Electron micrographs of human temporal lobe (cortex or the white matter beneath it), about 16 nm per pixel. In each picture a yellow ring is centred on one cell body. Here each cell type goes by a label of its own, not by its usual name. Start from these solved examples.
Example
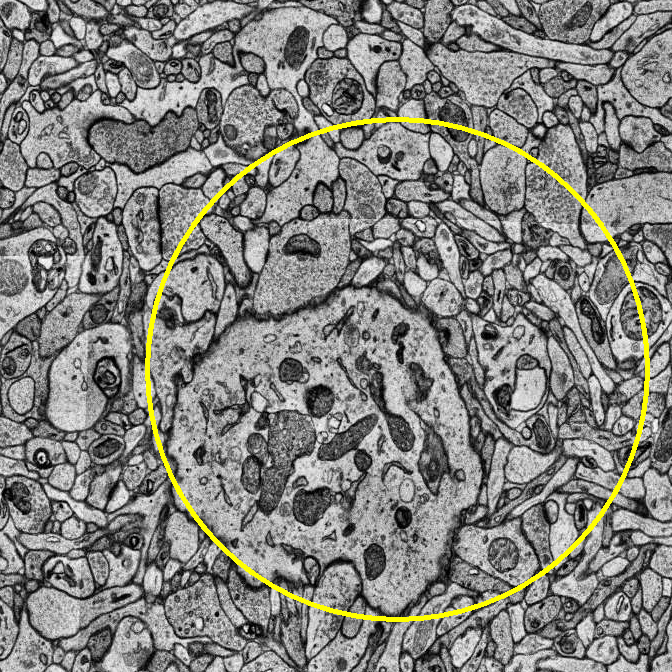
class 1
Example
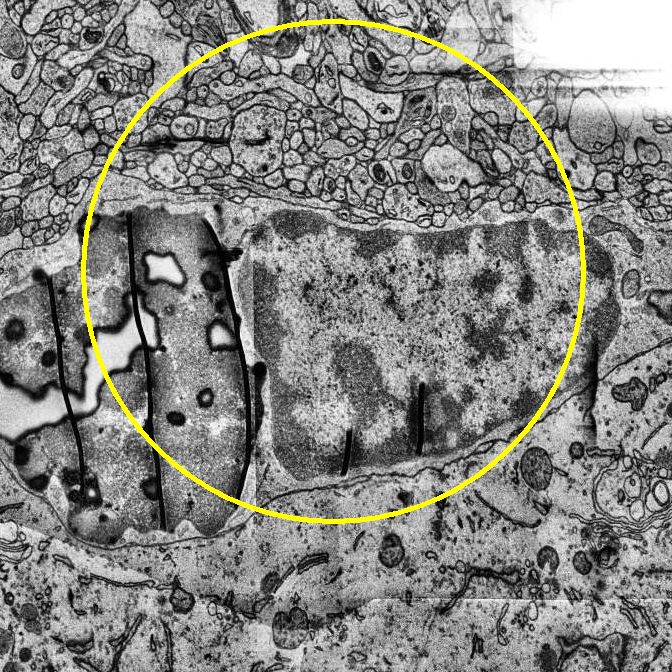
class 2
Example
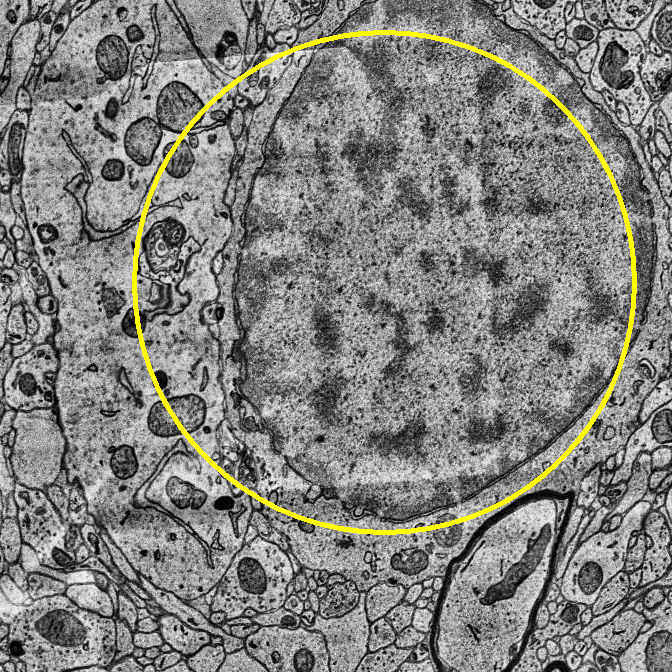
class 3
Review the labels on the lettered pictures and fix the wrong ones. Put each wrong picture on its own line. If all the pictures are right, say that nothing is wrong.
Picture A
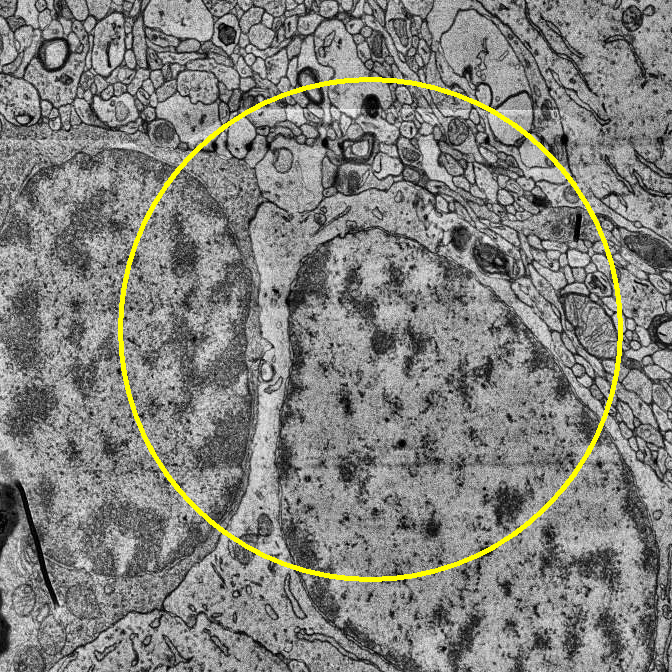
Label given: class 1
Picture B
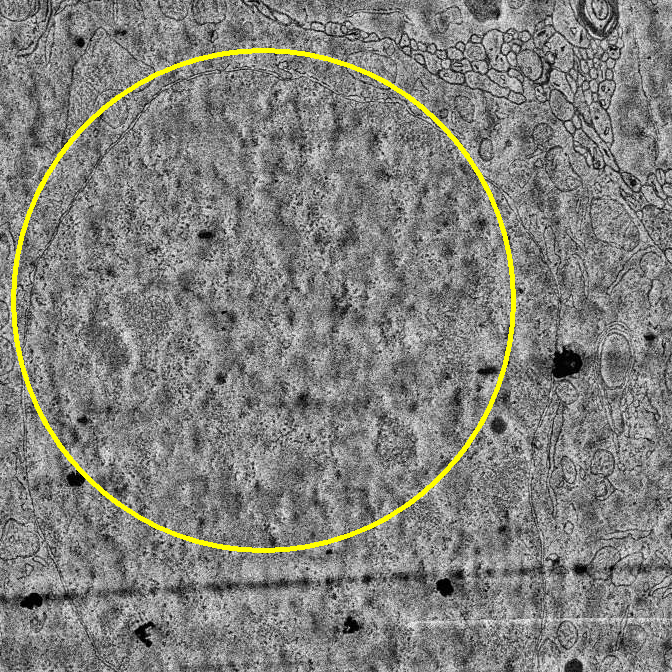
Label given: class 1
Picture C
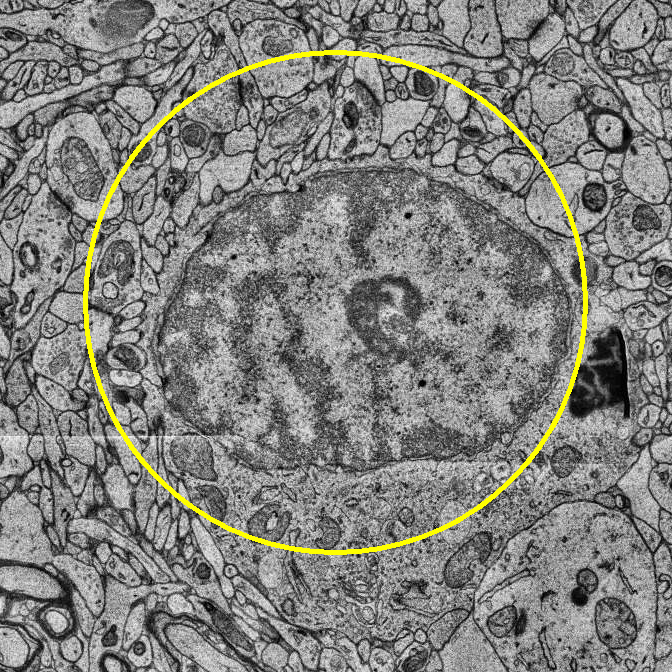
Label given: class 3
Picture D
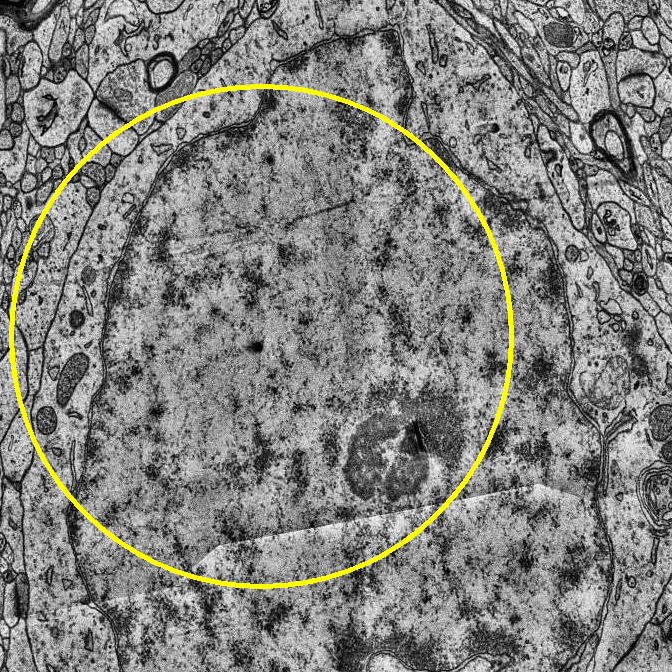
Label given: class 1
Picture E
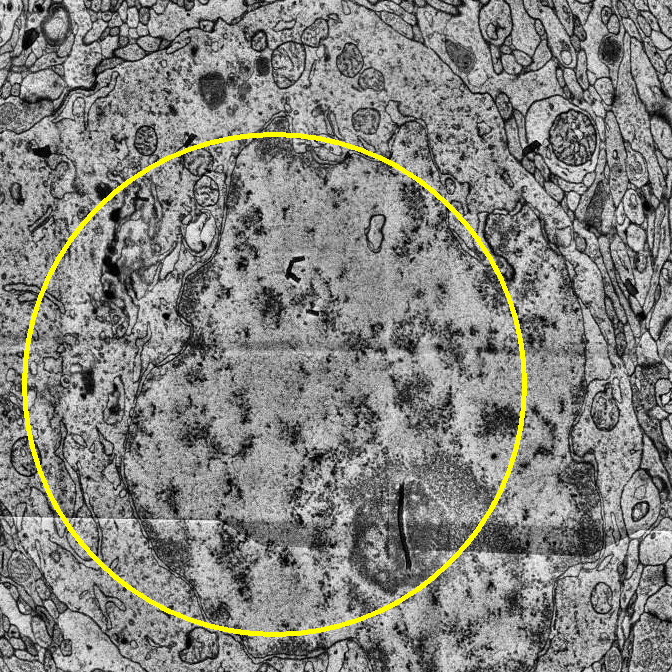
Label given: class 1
A: class 2, not class 1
